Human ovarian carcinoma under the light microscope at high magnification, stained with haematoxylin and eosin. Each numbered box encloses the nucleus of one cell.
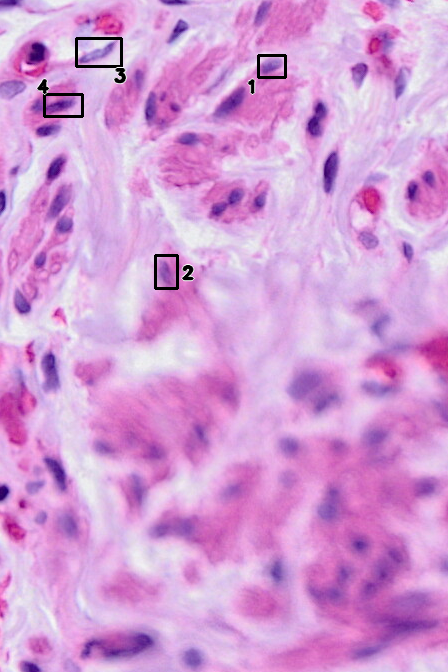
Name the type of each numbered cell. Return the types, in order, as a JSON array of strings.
["smooth muscle cell", "smooth muscle cell", "endothelial cell", "smooth muscle cell"]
